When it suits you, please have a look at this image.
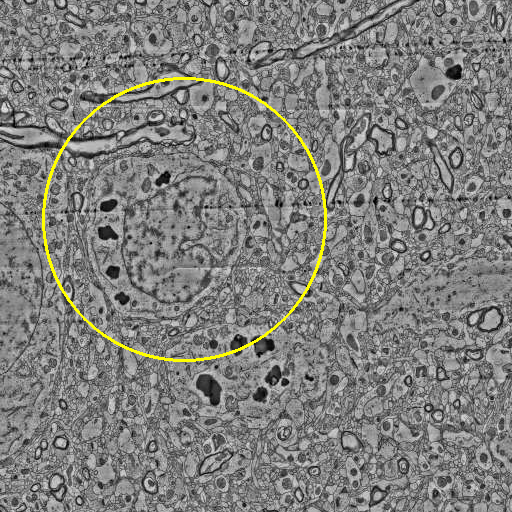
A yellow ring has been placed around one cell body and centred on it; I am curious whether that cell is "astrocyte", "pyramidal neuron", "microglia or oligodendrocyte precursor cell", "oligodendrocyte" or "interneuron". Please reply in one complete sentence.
The ringed cell, an interneuron, has its body at the centre of the yellow ring.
